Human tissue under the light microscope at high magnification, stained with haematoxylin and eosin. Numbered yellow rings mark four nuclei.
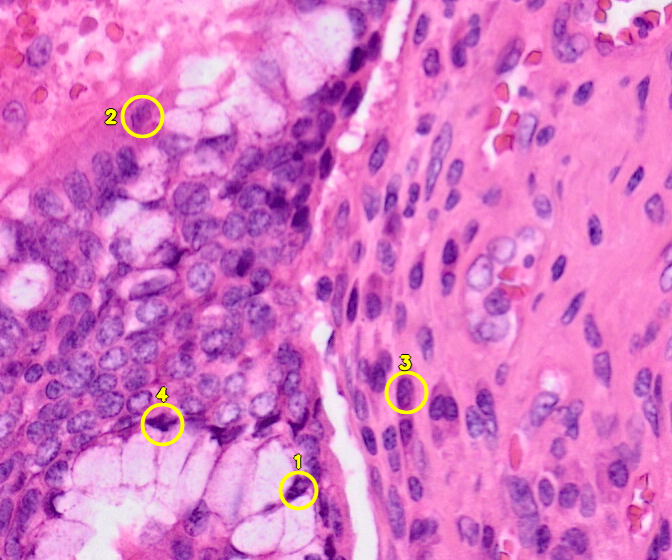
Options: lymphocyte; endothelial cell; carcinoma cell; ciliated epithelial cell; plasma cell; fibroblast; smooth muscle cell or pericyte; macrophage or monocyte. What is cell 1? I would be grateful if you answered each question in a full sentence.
The cell assigned the number 1 is a ciliated epithelial cell.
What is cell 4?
The cell pointed out as number 4 is a ciliated epithelial cell.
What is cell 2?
The cell marked with number 2 is a ciliated epithelial cell.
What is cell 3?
In this section, the cell numbered 3 is a plasma cell.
